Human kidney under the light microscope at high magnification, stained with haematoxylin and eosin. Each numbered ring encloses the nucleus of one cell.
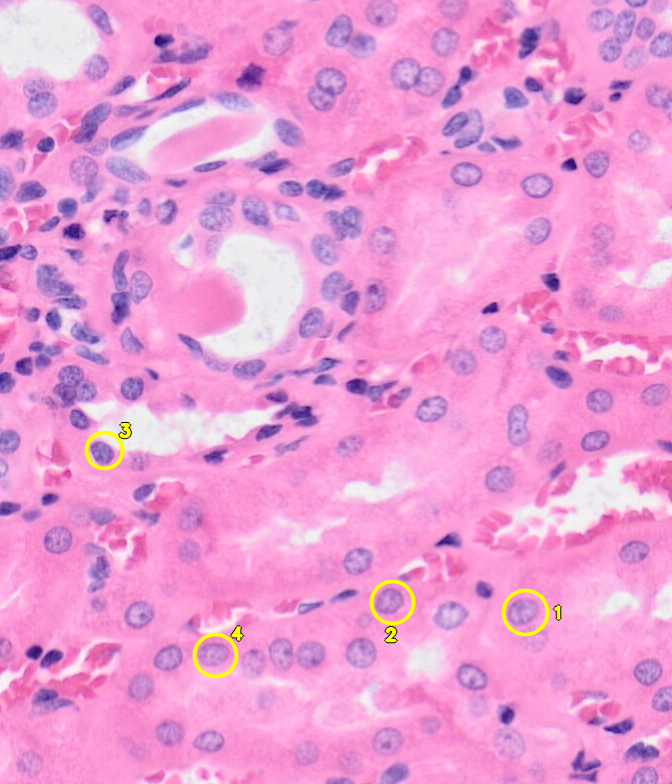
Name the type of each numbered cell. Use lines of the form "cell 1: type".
cell 1: proximal tubule cell
cell 2: proximal tubule cell
cell 3: loop of Henle or distal tubule cell
cell 4: proximal tubule cell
